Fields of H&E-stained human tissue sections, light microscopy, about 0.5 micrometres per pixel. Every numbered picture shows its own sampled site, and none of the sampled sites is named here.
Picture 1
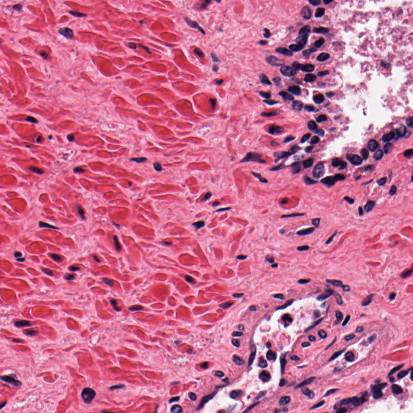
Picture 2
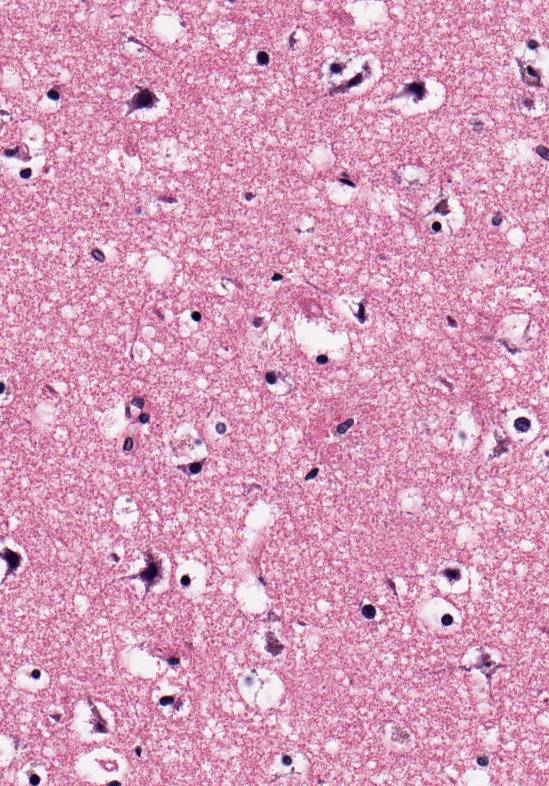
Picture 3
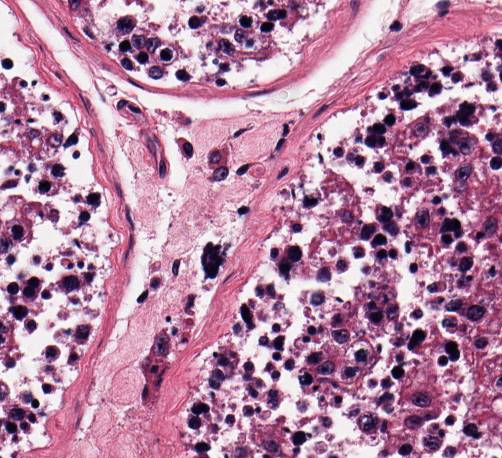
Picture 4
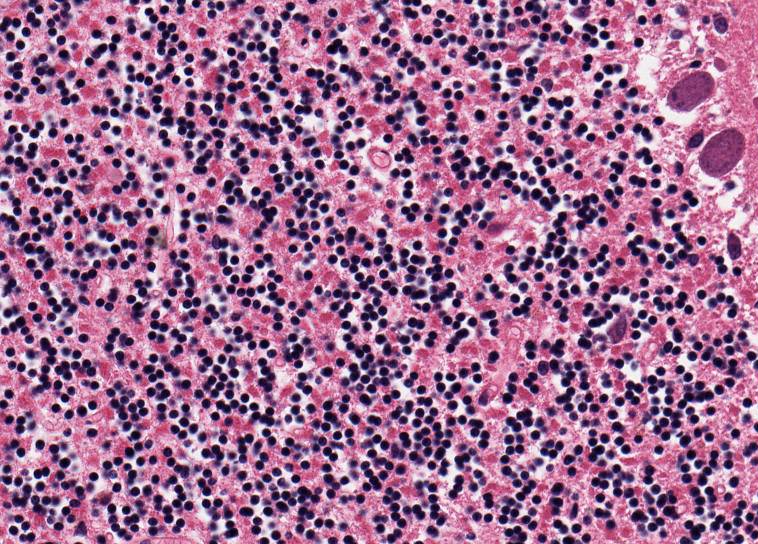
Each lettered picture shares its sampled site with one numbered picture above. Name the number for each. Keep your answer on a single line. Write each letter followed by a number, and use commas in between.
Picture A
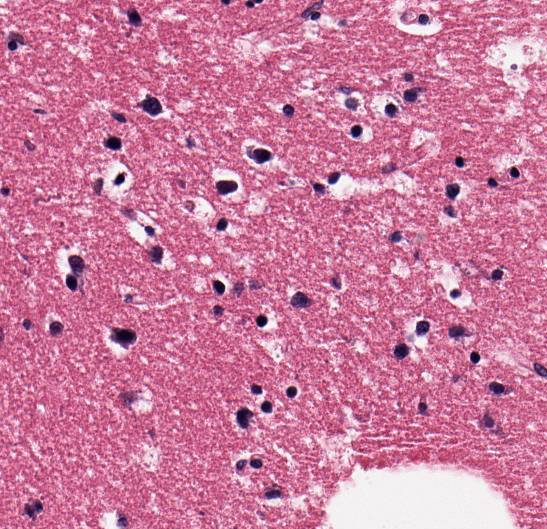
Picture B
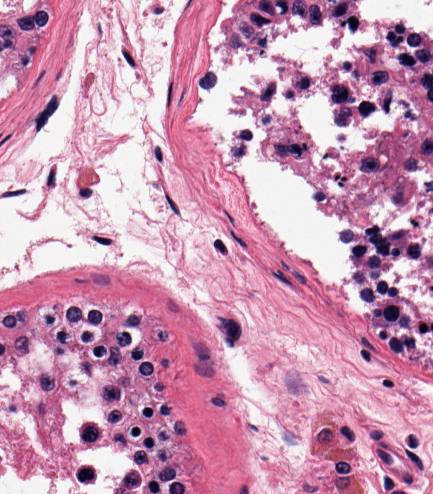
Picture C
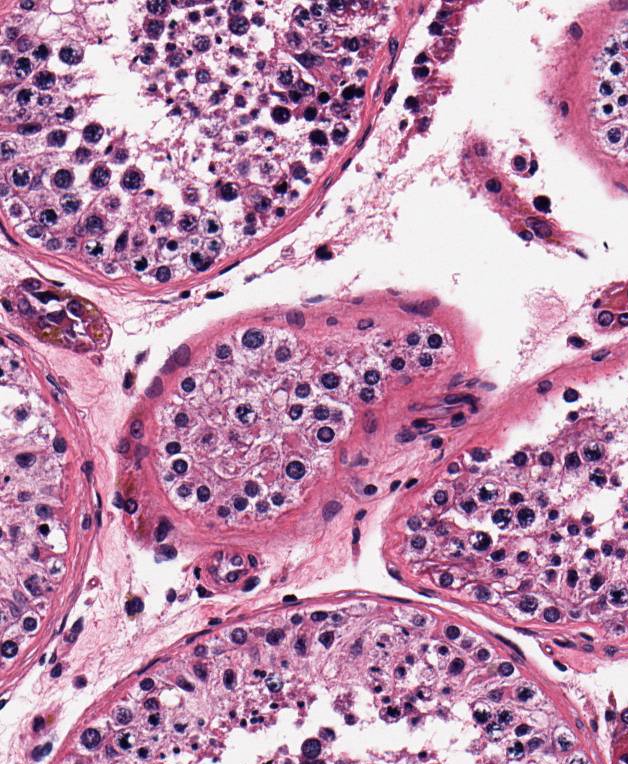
A 2, B 3, C 3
